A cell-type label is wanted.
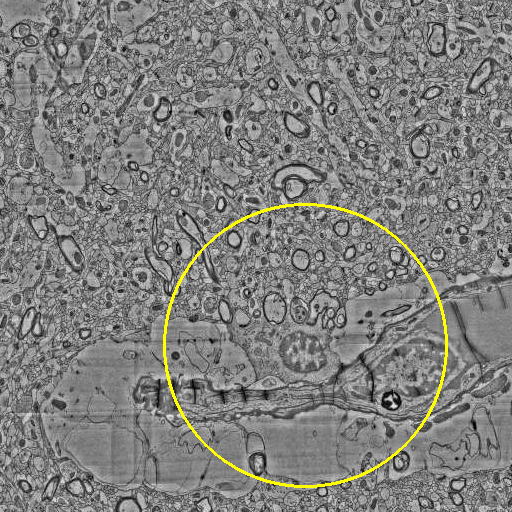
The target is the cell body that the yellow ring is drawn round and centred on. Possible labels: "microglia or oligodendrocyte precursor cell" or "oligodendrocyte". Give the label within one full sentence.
Of the labels offered, the cell in the middle of the yellow ring is an oligodendrocyte.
